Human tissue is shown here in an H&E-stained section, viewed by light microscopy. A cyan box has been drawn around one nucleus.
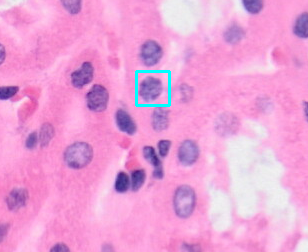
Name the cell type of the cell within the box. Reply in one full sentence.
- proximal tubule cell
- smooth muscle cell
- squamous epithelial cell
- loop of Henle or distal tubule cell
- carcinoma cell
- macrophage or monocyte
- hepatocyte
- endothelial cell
As to its cell type, the cell within the box is a loop of Henle or distal tubule cell.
